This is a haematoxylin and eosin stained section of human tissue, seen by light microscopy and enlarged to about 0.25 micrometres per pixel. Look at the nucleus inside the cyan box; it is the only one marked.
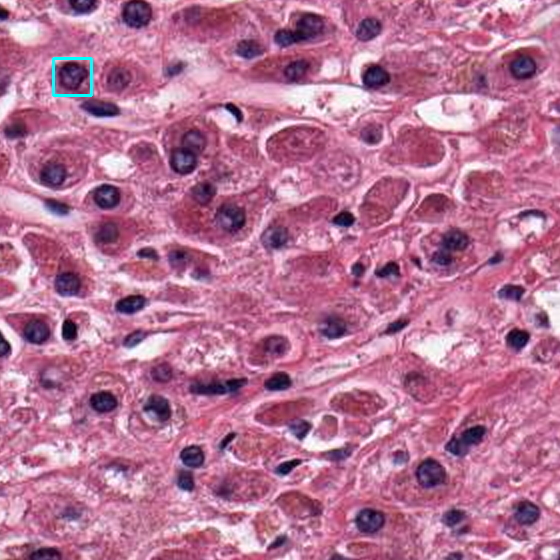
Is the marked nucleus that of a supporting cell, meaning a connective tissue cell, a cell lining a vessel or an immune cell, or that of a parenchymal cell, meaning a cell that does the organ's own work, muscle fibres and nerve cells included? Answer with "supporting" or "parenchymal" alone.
parenchymal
